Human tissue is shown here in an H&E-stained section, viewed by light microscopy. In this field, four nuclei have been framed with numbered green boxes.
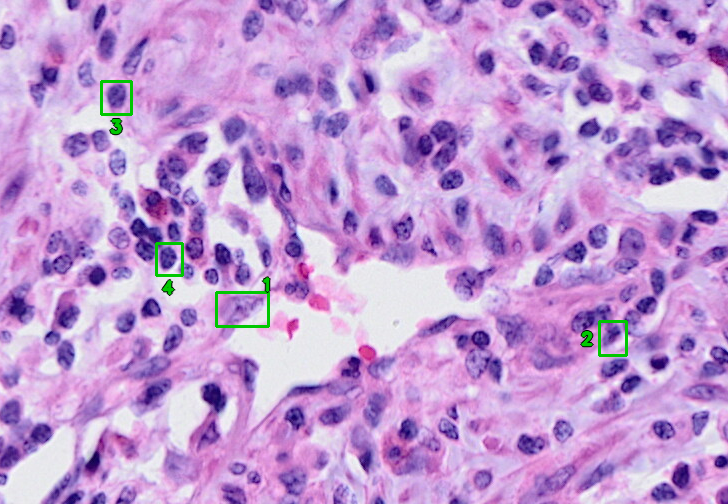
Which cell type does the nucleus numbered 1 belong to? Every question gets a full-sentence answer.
The correct label for cell 1 is an endothelial cell.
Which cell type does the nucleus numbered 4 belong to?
The cell tagged with 4 in this tissue section is a lymphocyte.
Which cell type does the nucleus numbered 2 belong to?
Here the cell numbered 2 is a lymphocyte.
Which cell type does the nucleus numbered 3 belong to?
The correct label for cell 3 is a lymphocyte.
